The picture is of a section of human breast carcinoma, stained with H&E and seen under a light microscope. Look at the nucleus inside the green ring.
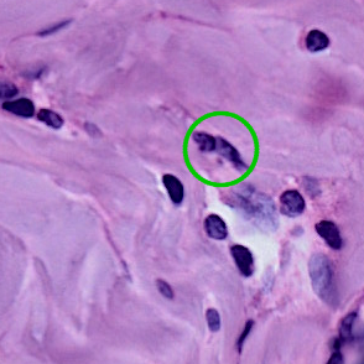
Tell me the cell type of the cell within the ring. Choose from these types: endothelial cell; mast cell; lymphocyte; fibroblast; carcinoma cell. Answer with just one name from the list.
fibroblast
